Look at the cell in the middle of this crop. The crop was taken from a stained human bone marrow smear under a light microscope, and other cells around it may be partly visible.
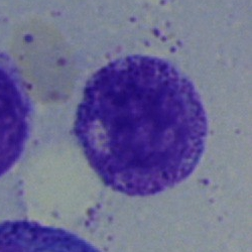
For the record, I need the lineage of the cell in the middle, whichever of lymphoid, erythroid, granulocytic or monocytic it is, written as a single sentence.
To the granulocytic lineage belongs the cell in the middle of the crop.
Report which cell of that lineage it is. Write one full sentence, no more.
To answer, the cell in the center of the crop is a myelocyte.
